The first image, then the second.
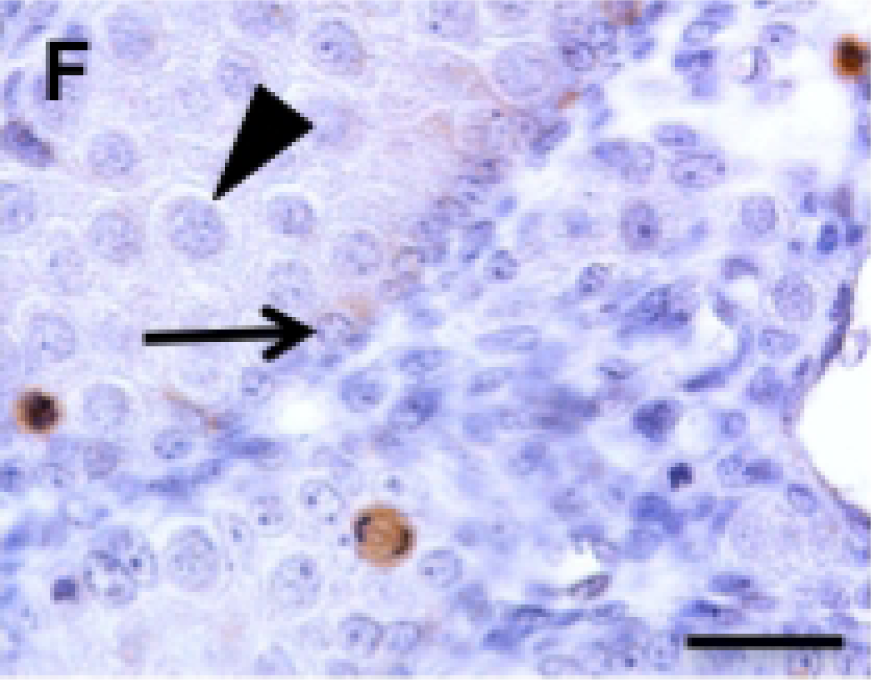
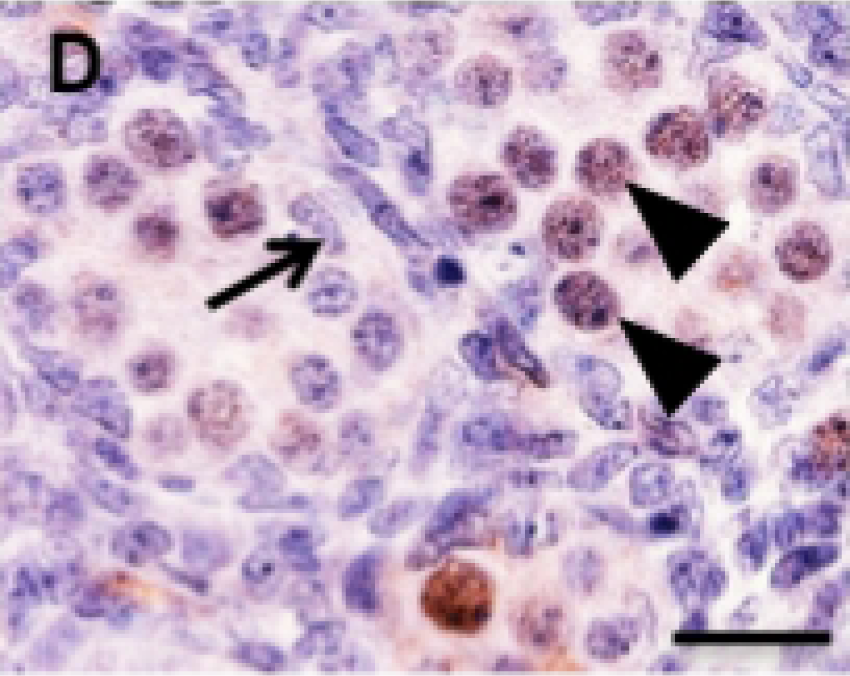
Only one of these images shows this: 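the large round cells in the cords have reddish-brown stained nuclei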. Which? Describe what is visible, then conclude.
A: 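The second image. First image: the large round nuclei in the cords are pale blue, without brown-red stain. Second image: many large round nuclei in the cords are reddish-brown.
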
